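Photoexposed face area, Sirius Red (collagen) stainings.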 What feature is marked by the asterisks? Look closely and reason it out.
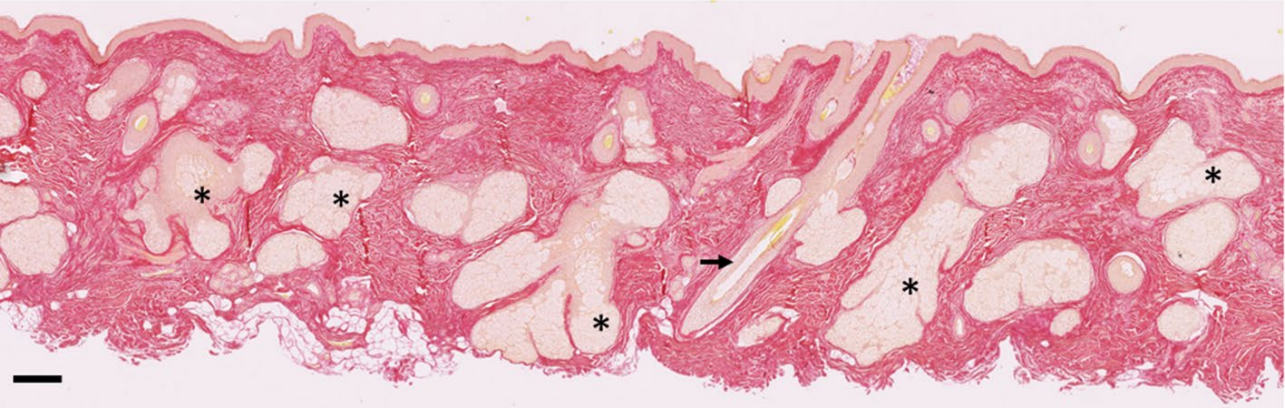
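The asterisks lie on large pale lobulated structures. The lobules have a foamy, finely vacuolated texture. The lobules are set in dense red-stained dermis.
Glands.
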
